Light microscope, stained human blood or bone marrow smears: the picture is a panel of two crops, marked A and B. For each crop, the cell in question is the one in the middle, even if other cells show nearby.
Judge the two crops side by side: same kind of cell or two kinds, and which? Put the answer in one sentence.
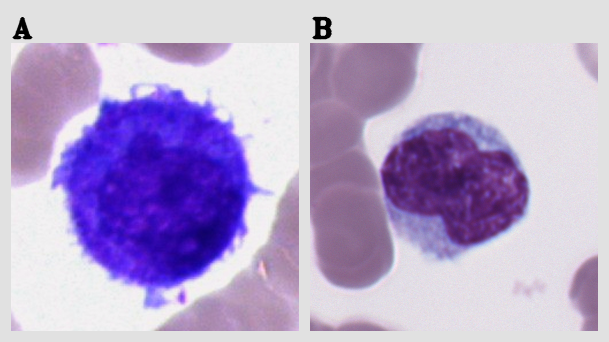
No, crop A should be called a promyelocyte, and crop B should be called a monocyte.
